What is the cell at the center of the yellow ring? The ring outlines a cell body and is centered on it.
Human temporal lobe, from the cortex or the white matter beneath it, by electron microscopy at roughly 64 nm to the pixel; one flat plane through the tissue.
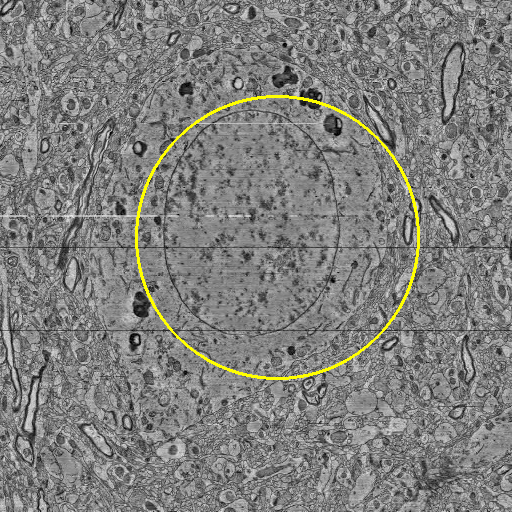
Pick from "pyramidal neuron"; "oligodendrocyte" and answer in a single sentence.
The yellow ring is centered on a pyramidal neuron.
